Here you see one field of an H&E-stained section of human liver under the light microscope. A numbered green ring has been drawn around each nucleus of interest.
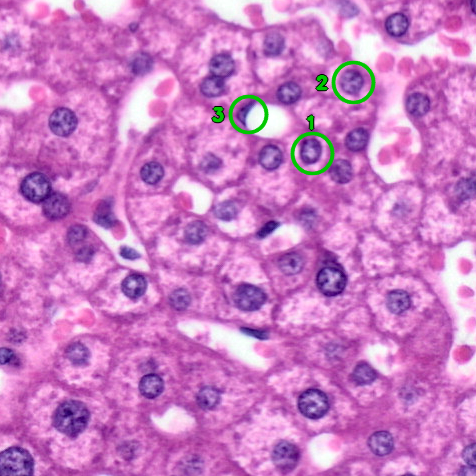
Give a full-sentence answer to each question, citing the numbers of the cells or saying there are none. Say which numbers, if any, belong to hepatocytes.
The cells numbered 1 and 2 are typed as hepatocytes.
